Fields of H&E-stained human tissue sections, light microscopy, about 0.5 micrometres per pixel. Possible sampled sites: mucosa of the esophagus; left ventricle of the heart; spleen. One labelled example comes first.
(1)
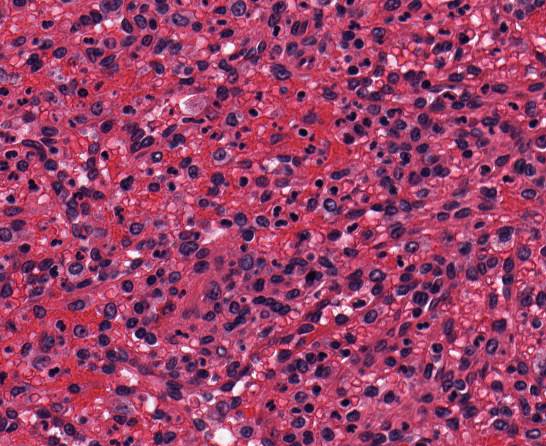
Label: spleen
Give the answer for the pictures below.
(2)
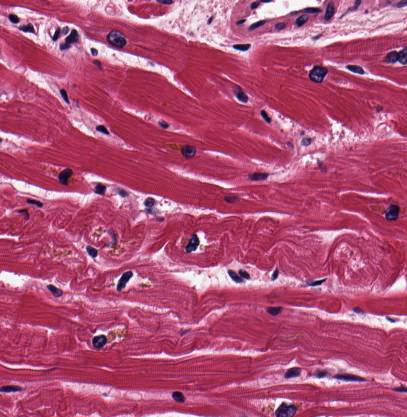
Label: left ventricle of the heart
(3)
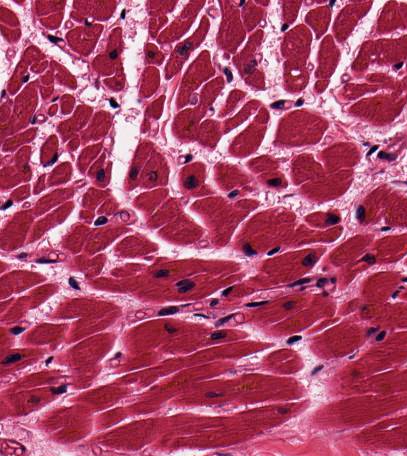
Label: left ventricle of the heart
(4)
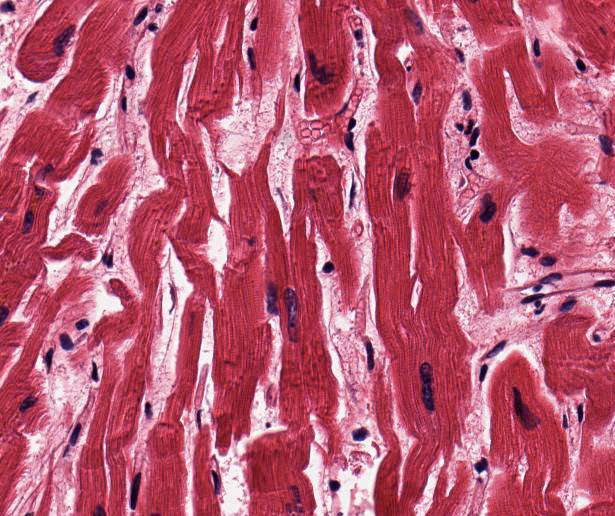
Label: left ventricle of the heart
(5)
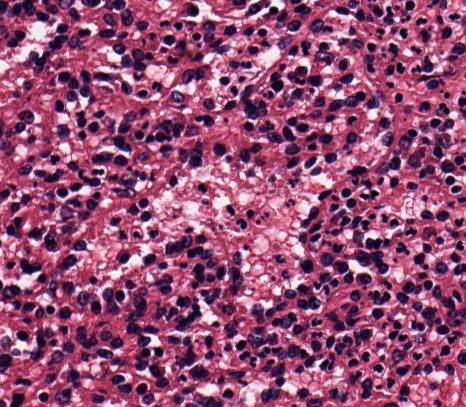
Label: spleen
